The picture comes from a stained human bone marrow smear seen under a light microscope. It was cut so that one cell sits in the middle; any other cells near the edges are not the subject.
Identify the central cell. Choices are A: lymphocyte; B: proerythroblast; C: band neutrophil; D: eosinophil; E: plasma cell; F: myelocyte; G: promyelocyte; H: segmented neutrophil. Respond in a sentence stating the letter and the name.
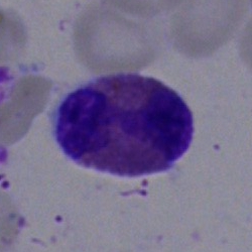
That cell in the center is an eosinophil, hence option D.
